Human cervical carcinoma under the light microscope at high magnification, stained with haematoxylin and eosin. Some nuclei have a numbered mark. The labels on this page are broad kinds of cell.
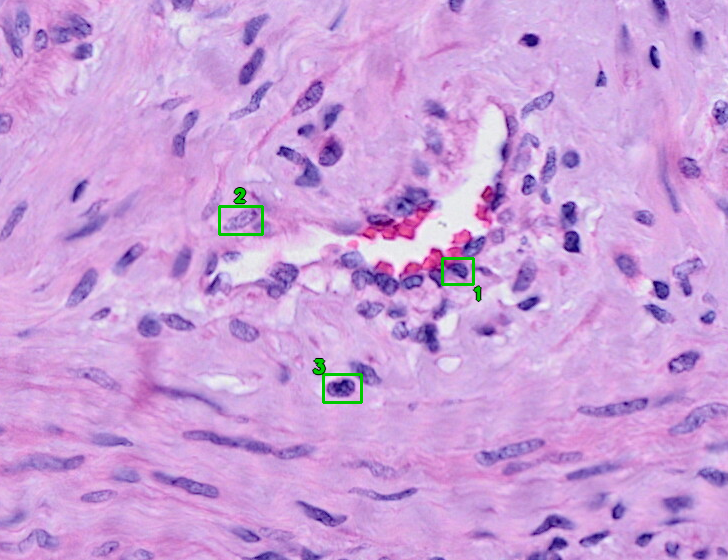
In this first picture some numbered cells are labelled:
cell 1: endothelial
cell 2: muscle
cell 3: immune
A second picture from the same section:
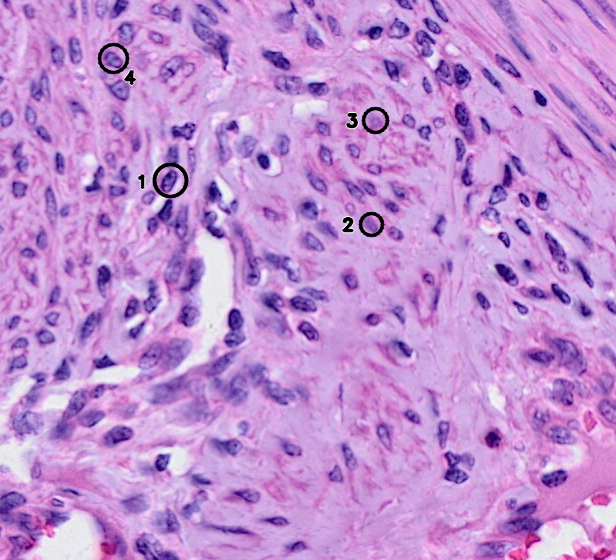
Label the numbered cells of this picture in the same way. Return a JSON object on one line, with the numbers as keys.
{"1": "immune", "2": "muscle", "3": "muscle", "4": "muscle"}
